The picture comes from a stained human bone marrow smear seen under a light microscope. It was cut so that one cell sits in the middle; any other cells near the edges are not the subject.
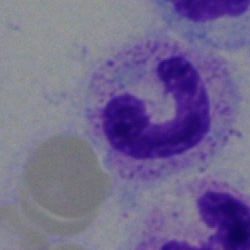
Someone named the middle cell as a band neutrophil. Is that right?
no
